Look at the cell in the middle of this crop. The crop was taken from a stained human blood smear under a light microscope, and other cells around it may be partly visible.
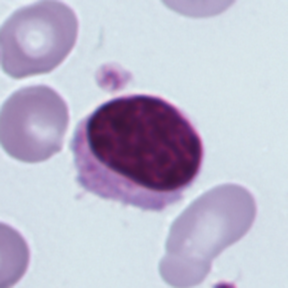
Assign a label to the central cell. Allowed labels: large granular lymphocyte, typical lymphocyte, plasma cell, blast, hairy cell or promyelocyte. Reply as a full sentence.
The cell featured at the centre of this crop is a large granular lymphocyte.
